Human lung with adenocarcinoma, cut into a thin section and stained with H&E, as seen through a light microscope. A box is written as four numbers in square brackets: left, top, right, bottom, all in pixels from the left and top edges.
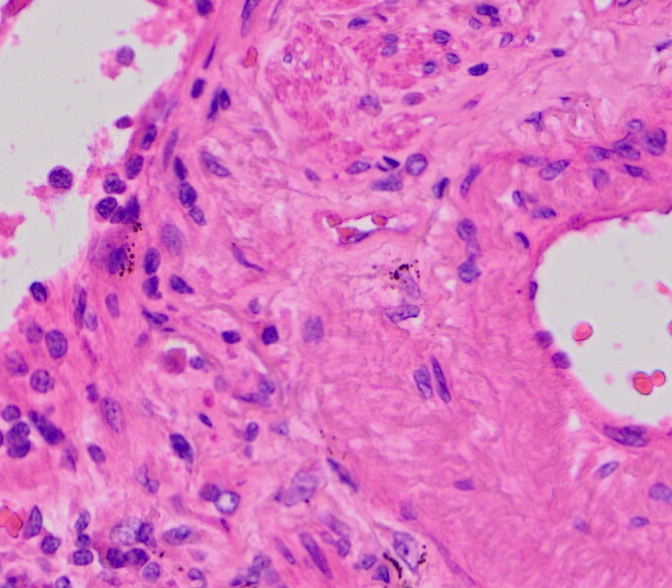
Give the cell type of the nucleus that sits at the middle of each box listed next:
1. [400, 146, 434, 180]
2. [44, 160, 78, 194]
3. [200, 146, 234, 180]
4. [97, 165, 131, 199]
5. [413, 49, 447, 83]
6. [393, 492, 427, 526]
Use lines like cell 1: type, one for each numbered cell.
cell 1: mast cell
cell 2: lymphocyte
cell 3: fibroblast
cell 4: lymphocyte
cell 5: smooth muscle cell or pericyte
cell 6: smooth muscle cell or pericyte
